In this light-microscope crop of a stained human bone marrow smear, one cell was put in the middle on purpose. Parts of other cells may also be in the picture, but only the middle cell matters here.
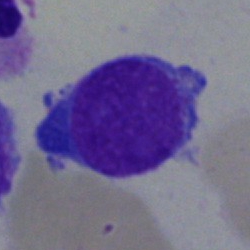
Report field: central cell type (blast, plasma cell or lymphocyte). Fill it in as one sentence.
The middle of this crop holds a lymphocyte.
